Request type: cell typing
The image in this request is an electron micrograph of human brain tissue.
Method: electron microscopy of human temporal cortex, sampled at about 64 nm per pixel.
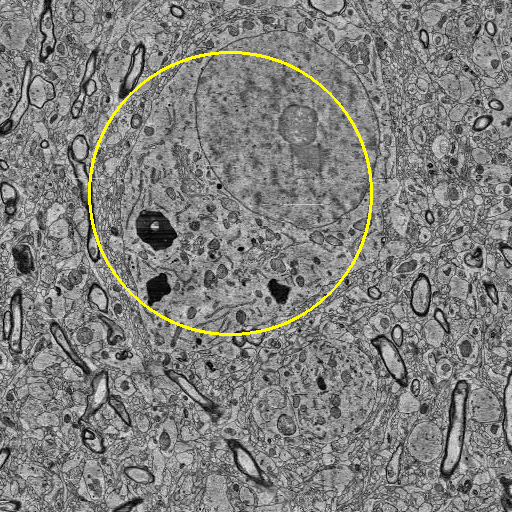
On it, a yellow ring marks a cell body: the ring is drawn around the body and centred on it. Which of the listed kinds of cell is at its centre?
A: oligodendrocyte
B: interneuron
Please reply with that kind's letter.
B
